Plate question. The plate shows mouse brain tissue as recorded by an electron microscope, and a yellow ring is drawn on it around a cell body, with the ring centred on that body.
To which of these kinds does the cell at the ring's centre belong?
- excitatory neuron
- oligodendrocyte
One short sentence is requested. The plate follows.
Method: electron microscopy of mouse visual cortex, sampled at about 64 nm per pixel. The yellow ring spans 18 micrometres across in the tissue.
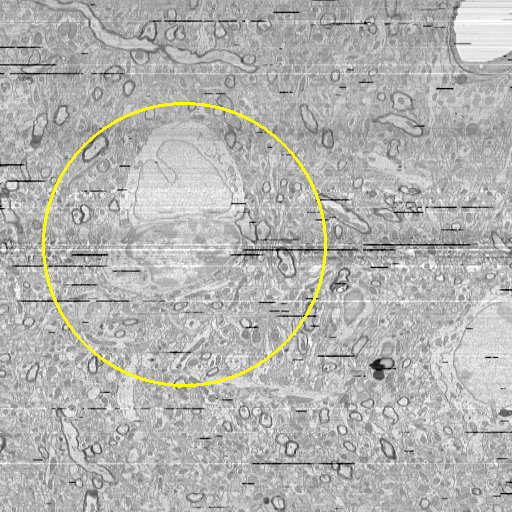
The cell at the ring's centre is an oligodendrocyte.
